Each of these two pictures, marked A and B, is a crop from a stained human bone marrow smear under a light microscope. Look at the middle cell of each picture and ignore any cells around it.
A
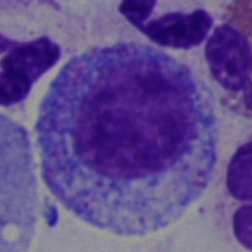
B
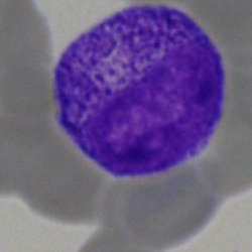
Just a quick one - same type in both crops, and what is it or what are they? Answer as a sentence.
No, crop A shows a promyelocyte and crop B shows a myelocyte.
